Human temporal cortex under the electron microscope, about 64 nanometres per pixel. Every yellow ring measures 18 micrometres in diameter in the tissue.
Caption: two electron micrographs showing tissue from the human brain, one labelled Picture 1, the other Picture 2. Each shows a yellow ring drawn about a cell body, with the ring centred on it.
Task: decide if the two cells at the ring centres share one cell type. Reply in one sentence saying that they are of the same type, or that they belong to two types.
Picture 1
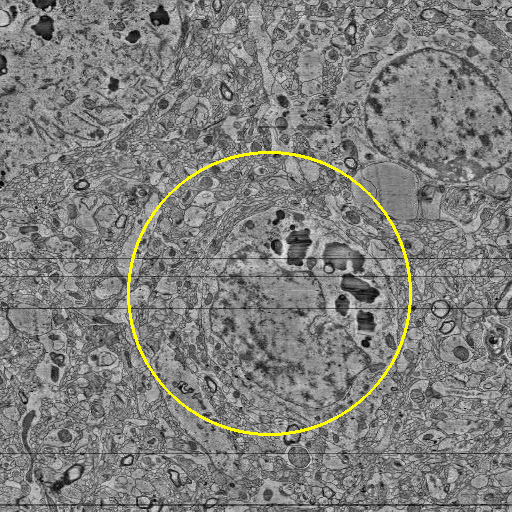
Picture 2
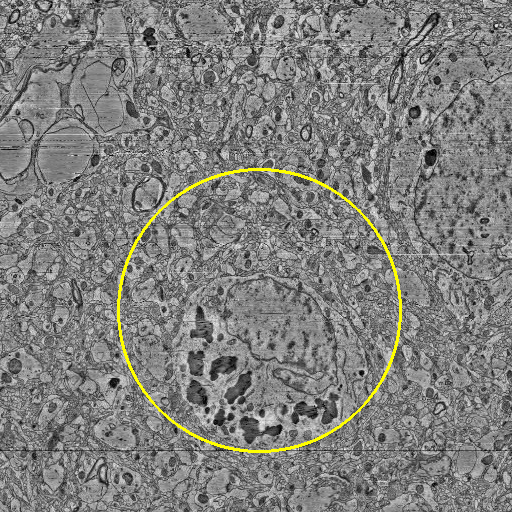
The cells at the ring centres in Picture 1 and Picture 2 are of the same type.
